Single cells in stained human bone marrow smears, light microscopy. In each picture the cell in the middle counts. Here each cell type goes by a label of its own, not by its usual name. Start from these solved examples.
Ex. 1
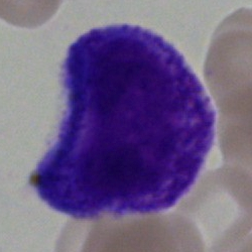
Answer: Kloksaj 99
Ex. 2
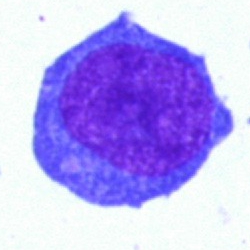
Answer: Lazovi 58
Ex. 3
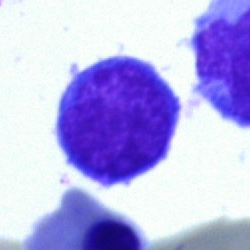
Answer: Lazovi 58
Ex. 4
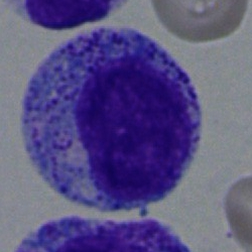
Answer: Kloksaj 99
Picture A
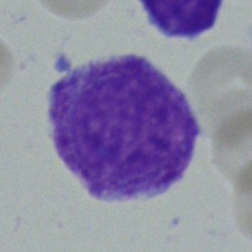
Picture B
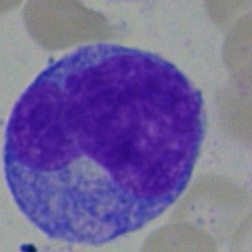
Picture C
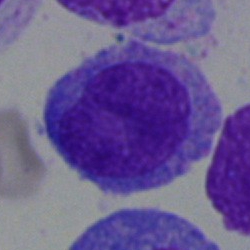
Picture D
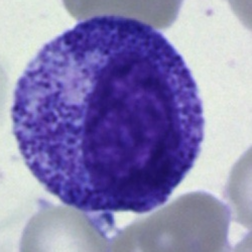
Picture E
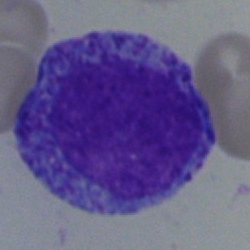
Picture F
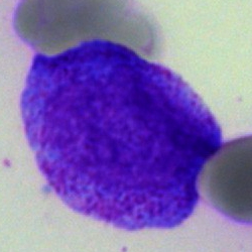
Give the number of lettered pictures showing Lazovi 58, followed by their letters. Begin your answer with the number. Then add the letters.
2, namely A, C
